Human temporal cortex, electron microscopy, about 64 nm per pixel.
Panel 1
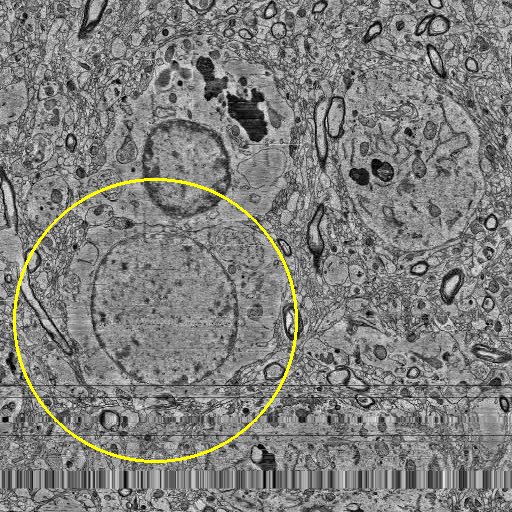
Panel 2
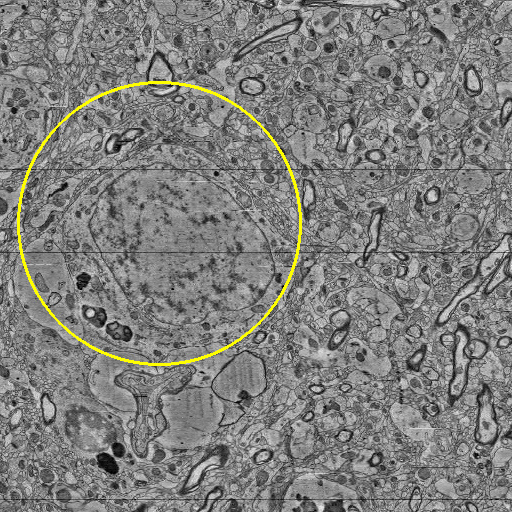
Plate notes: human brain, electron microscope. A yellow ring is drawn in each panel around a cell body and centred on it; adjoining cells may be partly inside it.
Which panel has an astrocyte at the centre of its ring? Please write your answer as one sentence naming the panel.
The ring in Panel 1 is centred on such a cell.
